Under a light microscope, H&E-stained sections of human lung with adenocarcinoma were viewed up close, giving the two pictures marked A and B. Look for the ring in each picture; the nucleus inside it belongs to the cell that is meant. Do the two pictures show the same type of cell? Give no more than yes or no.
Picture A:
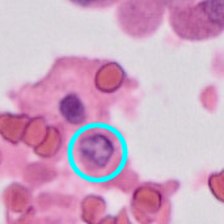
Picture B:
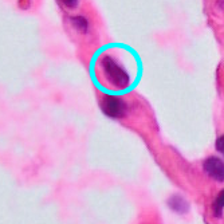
no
